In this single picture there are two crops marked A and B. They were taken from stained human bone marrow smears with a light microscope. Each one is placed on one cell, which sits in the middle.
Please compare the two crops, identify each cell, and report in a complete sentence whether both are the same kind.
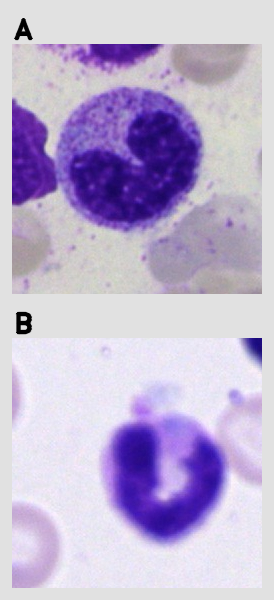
Yes, as an answer for this item, both crops show band neutrophils.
